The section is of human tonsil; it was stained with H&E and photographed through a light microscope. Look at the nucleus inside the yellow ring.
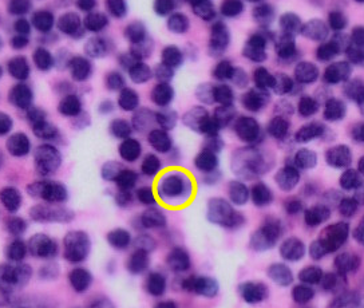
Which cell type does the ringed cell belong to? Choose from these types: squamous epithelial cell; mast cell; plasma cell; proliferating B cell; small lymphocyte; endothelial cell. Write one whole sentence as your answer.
On this particular slide, the ringed cell is a small lymphocyte.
